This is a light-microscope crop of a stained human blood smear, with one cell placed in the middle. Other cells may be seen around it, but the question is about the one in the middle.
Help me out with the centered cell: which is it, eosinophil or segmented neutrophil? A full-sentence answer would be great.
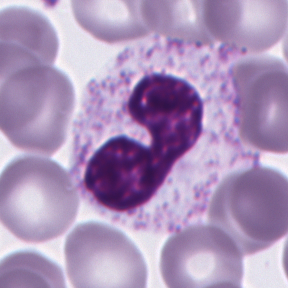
By type, the central cell of the crop is a segmented neutrophil.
